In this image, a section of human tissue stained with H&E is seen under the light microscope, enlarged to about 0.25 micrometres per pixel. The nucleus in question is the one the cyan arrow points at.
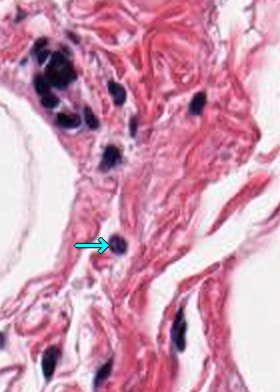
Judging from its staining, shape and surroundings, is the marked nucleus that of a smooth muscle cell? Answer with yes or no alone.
no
